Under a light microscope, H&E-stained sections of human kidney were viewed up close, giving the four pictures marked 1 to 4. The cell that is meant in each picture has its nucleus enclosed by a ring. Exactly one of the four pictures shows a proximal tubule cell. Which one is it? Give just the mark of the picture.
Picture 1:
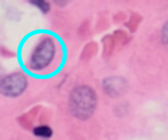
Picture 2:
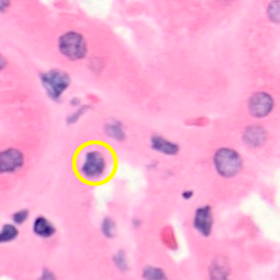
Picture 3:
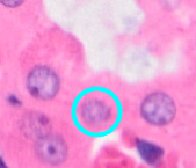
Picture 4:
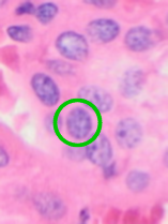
3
